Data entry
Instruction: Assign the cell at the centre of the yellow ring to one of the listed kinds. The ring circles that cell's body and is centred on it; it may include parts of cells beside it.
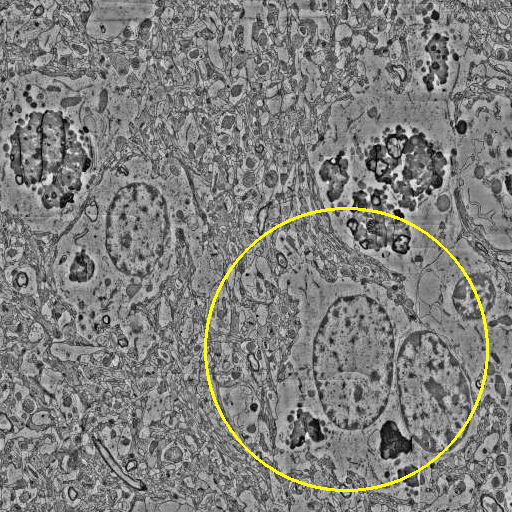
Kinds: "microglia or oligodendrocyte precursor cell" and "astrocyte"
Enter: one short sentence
The centre of the ring falls on an astrocyte.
